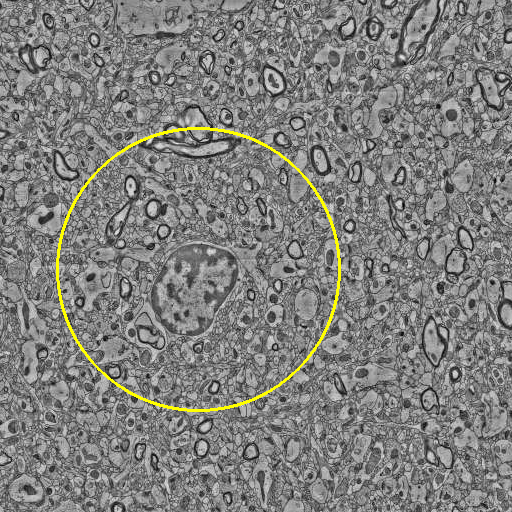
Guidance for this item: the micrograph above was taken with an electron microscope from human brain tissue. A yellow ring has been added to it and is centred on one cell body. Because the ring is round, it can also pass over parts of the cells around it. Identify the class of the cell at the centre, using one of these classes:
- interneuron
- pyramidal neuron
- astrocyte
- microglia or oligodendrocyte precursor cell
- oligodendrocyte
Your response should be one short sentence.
The ring surrounds the body of a microglial cell or oligodendrocyte precursor cell.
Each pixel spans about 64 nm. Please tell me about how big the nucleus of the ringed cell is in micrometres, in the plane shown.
The ringed cell's nucleus is about 6 micrometres long and 5 micrometres wide in this plane.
